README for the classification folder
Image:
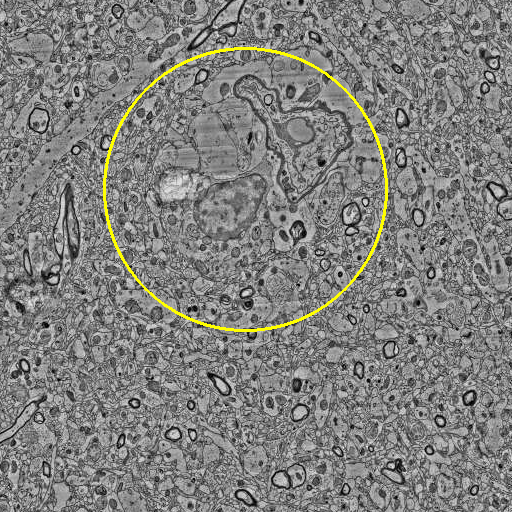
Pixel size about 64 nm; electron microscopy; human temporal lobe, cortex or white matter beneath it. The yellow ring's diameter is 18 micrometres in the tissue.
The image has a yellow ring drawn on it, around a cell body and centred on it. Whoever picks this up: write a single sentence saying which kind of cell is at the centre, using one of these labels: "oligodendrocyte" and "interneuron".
This cell body is that of an oligodendrocyte.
